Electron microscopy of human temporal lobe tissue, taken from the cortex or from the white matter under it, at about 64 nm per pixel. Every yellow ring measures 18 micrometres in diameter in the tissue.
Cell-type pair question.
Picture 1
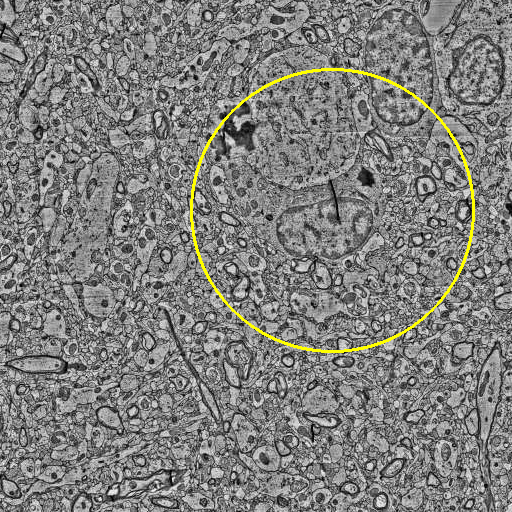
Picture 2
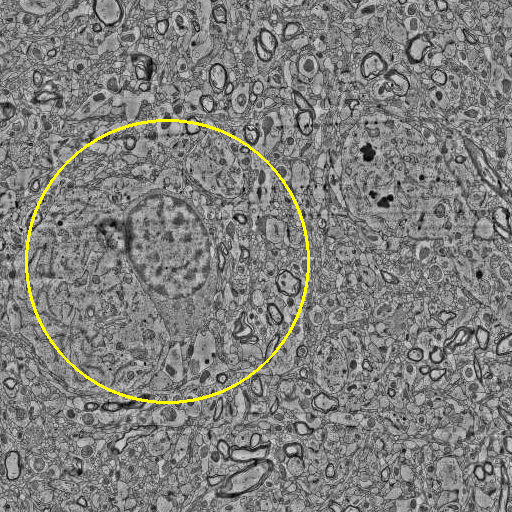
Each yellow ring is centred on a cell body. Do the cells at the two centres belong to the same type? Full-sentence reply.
Yes, the two cells belong to the same type.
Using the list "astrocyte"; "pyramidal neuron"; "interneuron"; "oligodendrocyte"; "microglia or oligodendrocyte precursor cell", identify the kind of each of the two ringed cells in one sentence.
Each of the two cells is an oligodendrocyte.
